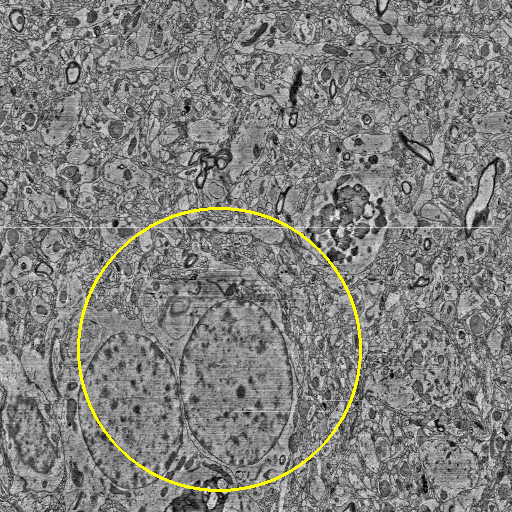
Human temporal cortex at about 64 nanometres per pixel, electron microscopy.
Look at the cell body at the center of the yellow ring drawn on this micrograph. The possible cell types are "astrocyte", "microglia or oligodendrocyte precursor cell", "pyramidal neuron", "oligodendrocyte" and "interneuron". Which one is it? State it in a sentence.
The cell in the middle of the ring is an astrocyte.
